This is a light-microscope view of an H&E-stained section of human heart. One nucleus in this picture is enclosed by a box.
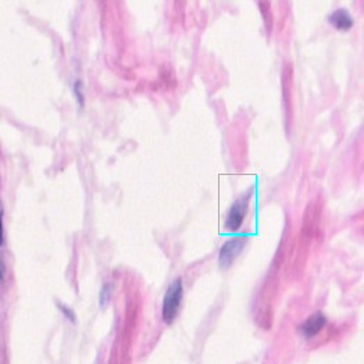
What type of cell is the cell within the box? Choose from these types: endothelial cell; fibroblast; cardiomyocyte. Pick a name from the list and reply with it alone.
fibroblast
